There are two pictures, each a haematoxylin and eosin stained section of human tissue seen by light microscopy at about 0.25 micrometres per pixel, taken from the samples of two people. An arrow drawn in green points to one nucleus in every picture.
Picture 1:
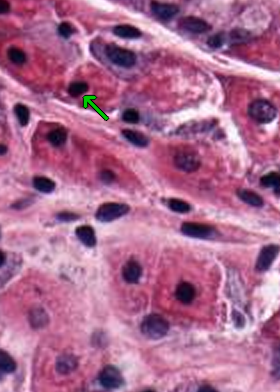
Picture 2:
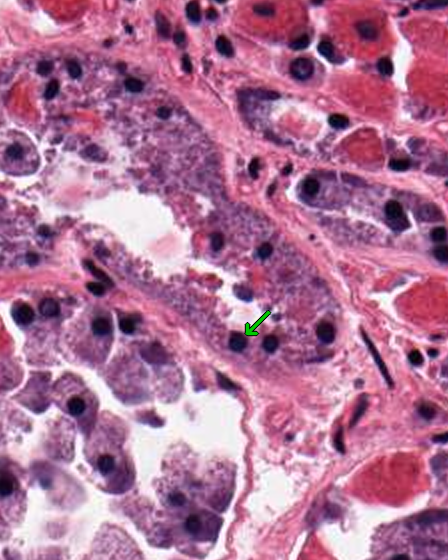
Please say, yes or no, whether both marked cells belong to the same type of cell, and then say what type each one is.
No, the first is a parietal cell and the second a chief cell.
